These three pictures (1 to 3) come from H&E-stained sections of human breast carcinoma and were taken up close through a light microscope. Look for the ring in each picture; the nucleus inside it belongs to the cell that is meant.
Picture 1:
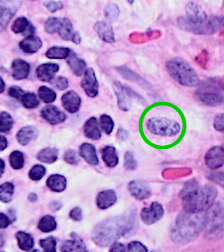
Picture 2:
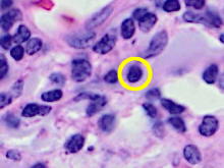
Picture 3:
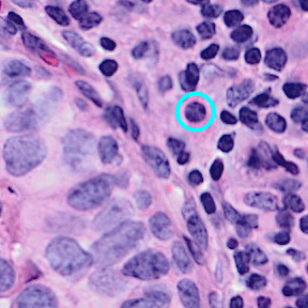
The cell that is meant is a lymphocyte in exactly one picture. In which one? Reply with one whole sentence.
It is picture 2 that shows the lymphocyte.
